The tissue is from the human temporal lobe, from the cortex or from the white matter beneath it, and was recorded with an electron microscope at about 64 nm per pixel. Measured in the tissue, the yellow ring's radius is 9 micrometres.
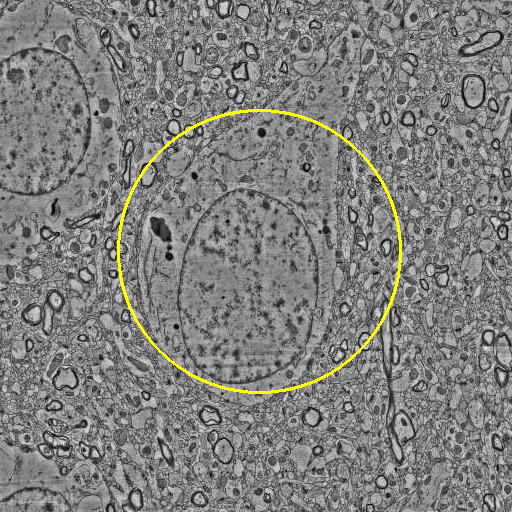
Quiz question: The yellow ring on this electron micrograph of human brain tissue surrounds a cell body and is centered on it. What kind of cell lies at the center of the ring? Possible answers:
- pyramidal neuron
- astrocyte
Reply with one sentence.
The ring's center lies on a pyramidal neuron.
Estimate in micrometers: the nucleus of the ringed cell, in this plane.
About 12 micrometres by about 9 micrometres in this plane.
